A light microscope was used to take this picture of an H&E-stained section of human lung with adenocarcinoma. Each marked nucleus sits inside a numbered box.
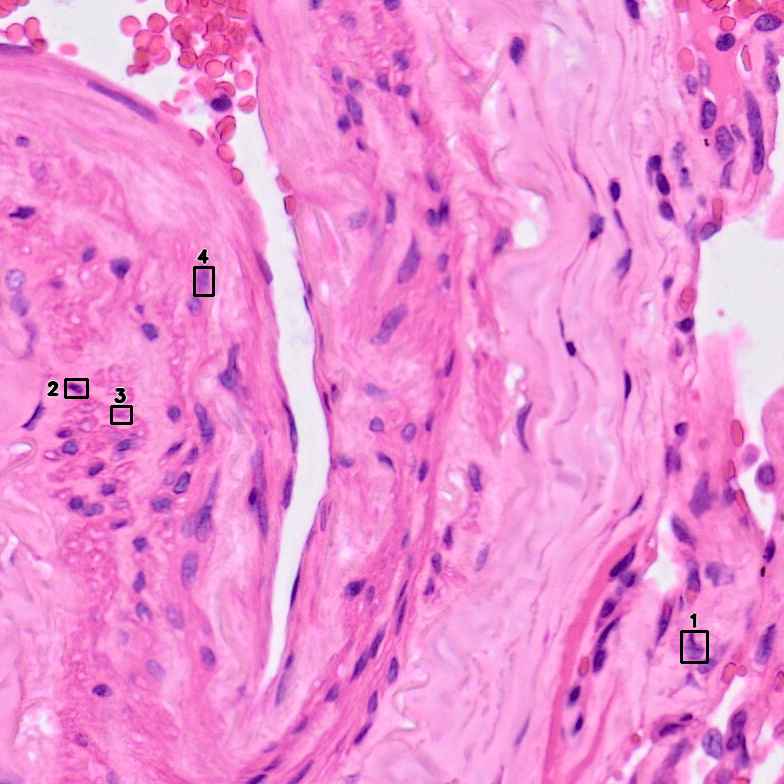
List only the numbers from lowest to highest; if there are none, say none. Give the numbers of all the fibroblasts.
1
